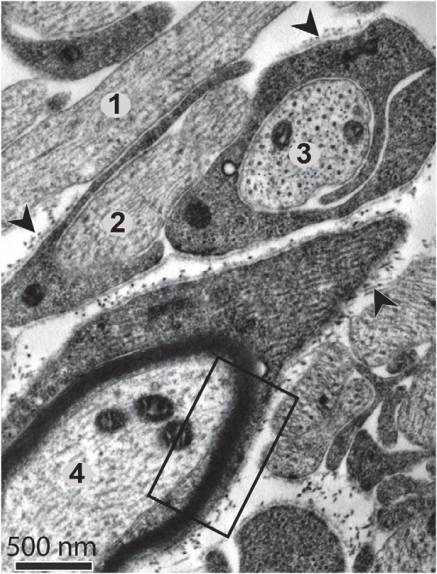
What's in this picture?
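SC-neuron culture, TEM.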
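This electron micrograph shows Schwann cell processes interacting with axons at different stages of ensheathment. Some elongated profiles contain longitudinally running neurofilaments and lie beside or partly along a cell process, while a round axon at upper right is completely enclosed by a dark cytoplasmic process. At bottom a large pale axon containing a few mitochondria is surrounded by a thick, dark, compact multilayered sheath of myelin. The Schwann cell cytoplasm is dense and granular. Fine dark fibrillar material, the collagen fibers, is scattered in the extracellular spaces between the processes.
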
